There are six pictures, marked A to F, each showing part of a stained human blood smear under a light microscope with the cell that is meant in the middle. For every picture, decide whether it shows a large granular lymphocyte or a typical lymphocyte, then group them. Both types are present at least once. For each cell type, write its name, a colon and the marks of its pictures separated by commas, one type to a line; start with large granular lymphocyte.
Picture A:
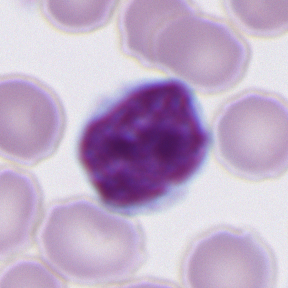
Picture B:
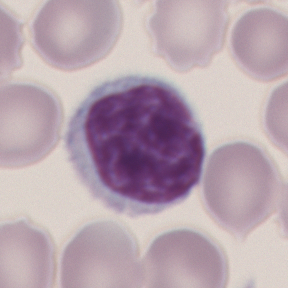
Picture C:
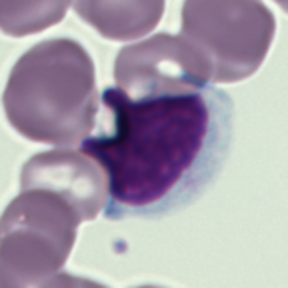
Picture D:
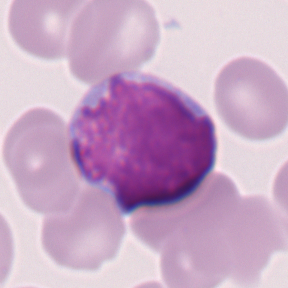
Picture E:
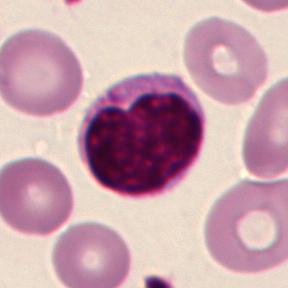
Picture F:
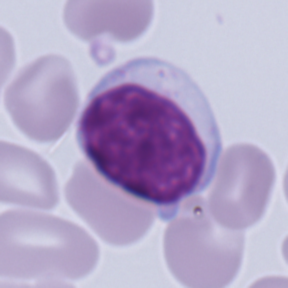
large granular lymphocyte: D, E, F
typical lymphocyte: A, B, C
